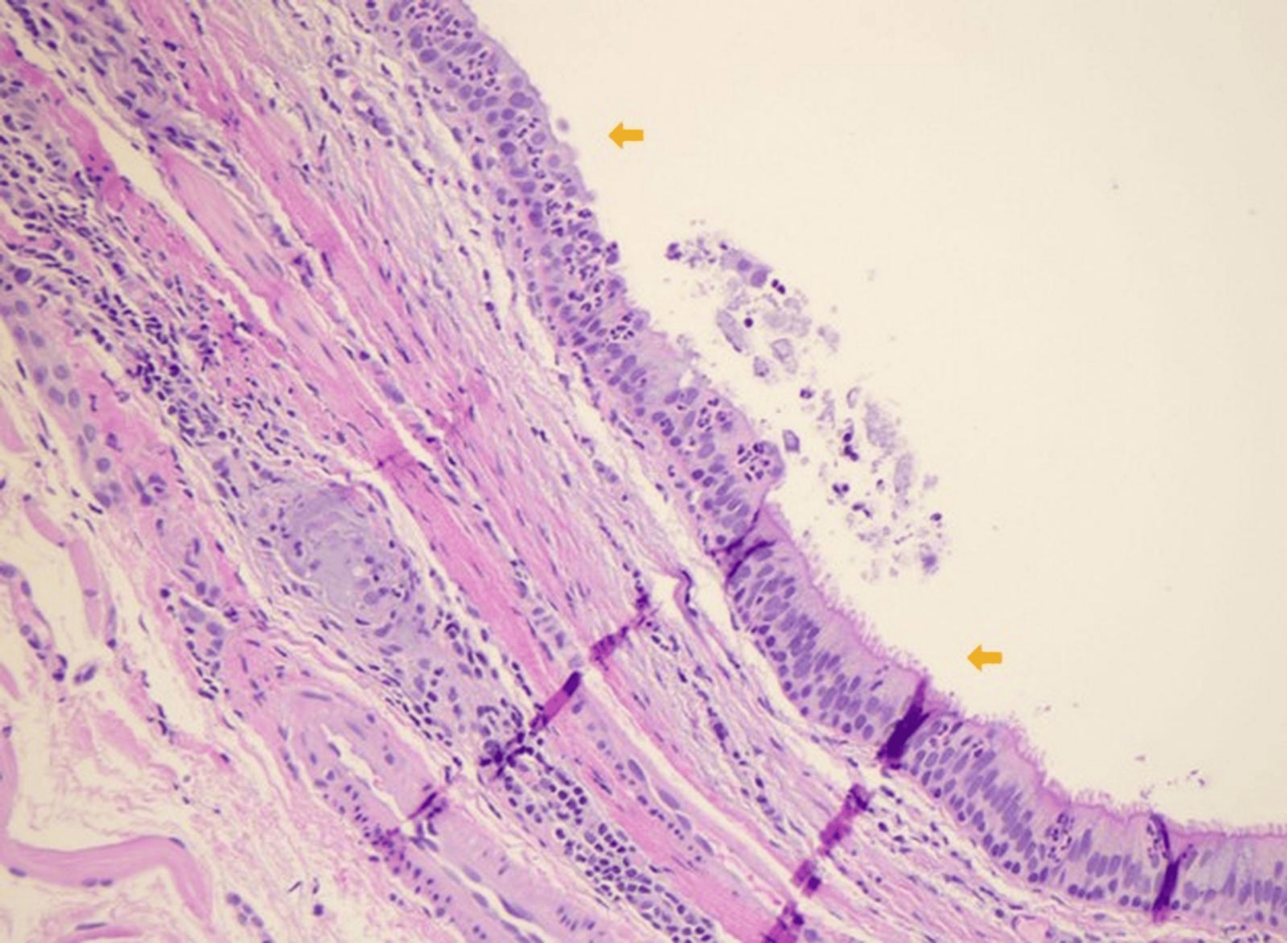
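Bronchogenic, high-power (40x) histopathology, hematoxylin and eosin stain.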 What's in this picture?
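The cyst wall is lined by a pseudostratified ciliated columnar epithelium, and the cilia form a fine fringe along the apical surface. The oval, purple nuclei are crowded at varying heights within a single layer of tall cells with pale pink cytoplasm. Beneath the lining lies a wall of pink fibrous tissue and smooth-muscle-like bundles scattered with small dark nuclei. Loose detached cellular debris floats in the lumen next to the surface.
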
